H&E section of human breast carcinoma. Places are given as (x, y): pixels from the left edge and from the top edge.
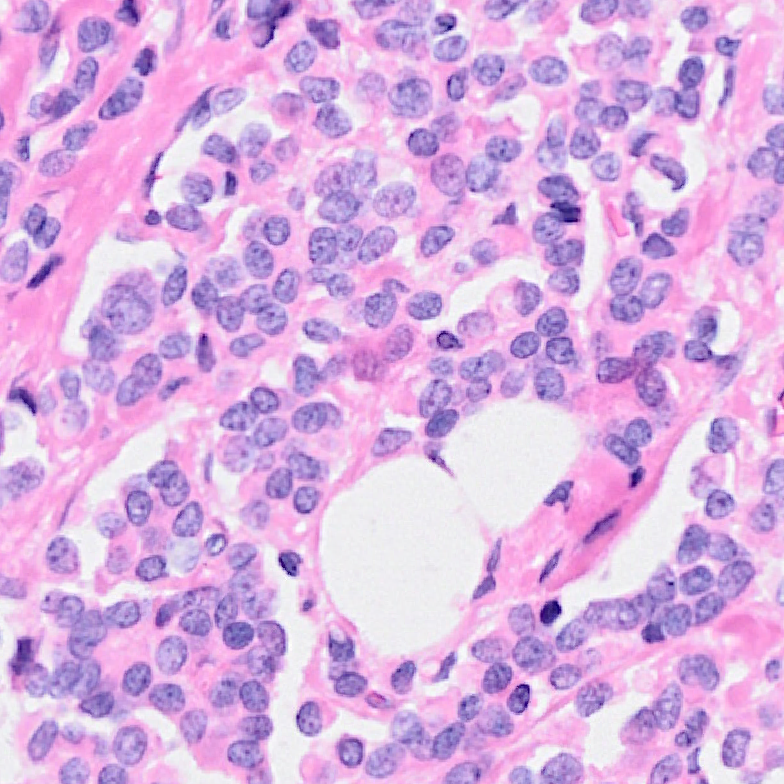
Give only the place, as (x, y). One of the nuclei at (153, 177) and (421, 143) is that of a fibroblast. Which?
(153, 177)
